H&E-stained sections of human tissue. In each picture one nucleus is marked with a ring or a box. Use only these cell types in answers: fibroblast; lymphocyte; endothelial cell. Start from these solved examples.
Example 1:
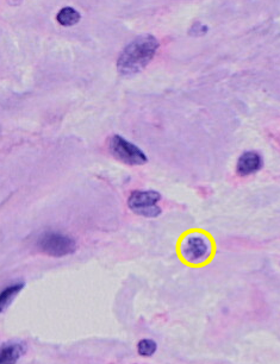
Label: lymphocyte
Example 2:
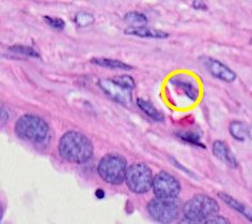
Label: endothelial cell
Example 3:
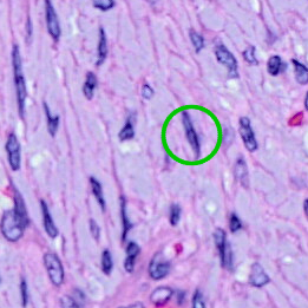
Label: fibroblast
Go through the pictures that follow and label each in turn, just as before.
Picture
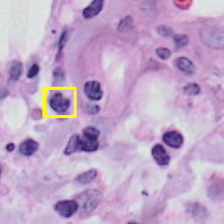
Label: lymphocyte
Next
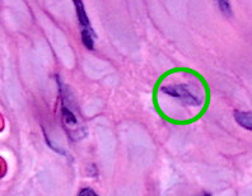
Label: fibroblast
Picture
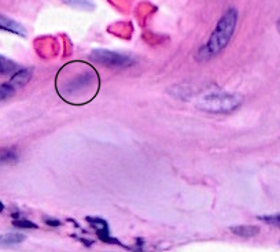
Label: endothelial cell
